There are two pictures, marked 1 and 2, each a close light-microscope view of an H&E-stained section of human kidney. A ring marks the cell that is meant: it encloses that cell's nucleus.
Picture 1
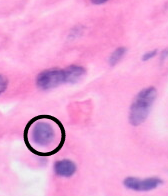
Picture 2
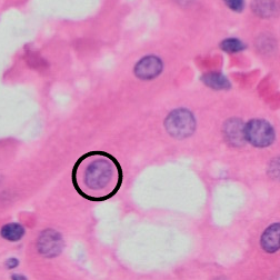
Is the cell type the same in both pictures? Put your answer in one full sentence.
No, the types are not the same, since picture 1 shows a “loop of Henle or distal tubule cell” and picture 2 a proximal tubule cell.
